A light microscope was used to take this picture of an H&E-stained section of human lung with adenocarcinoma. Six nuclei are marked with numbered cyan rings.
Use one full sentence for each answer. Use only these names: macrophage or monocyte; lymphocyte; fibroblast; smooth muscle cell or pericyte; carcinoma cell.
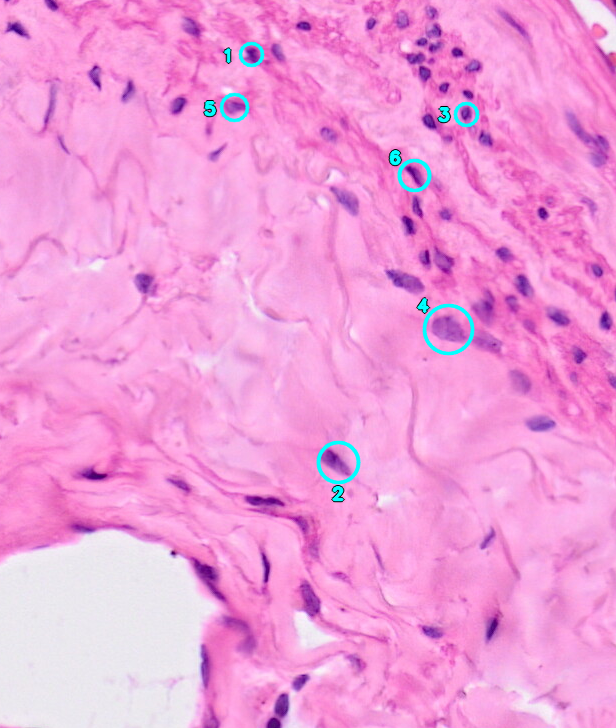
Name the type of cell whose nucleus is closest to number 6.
It is a smooth muscle cell or pericyte whose nucleus is nearest to number 6.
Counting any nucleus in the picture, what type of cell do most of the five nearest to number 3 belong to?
Most of the five nuclei nearest to number 3 are those of smooth muscle cells or pericytes.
